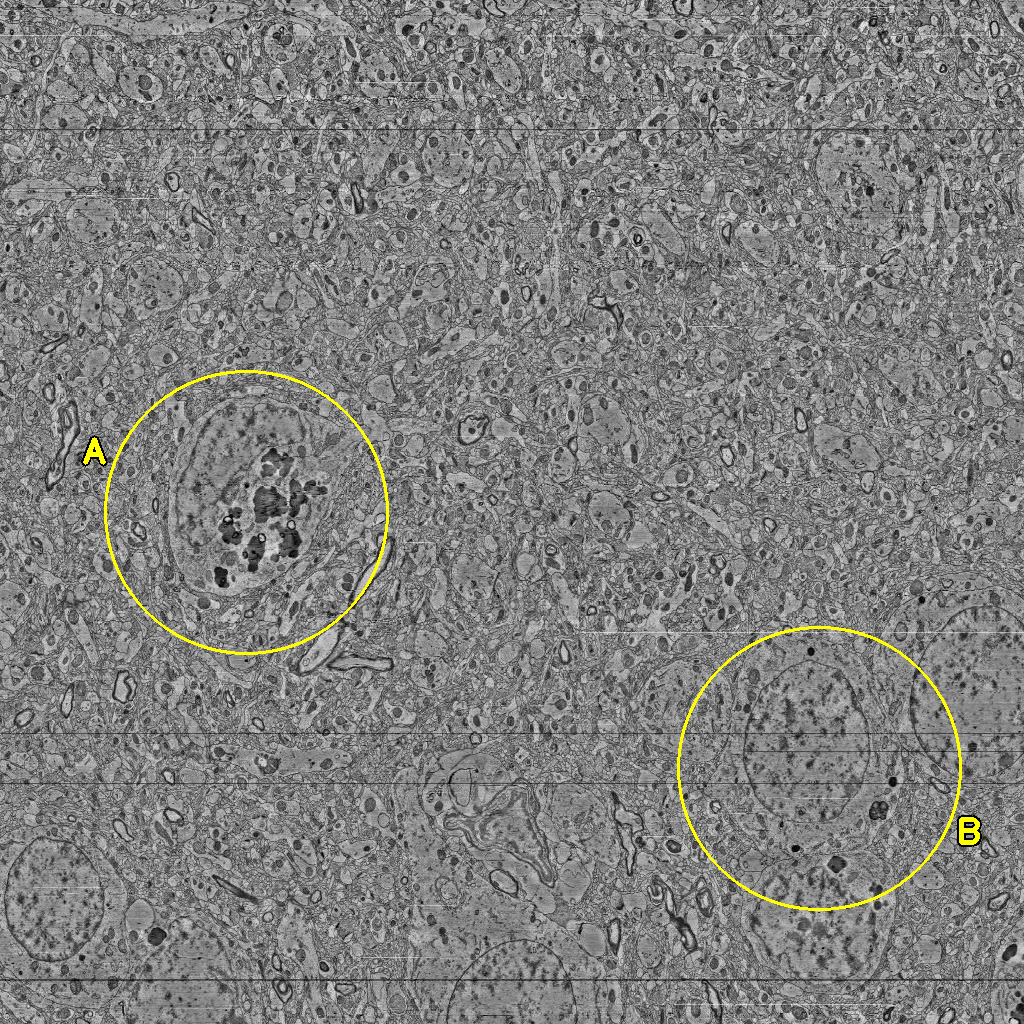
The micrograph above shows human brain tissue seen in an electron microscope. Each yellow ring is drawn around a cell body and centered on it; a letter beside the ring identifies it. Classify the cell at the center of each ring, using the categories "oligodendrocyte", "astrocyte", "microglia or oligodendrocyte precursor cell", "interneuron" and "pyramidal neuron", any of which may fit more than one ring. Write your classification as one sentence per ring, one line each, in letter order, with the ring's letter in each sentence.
Ring A is centered on an interneuron.
Ring B is centered on a pyramidal neuron.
